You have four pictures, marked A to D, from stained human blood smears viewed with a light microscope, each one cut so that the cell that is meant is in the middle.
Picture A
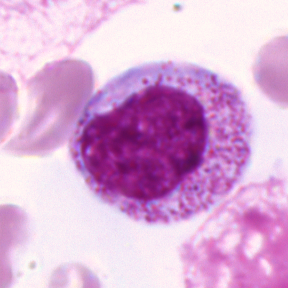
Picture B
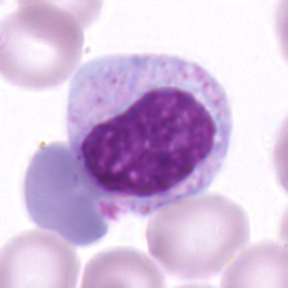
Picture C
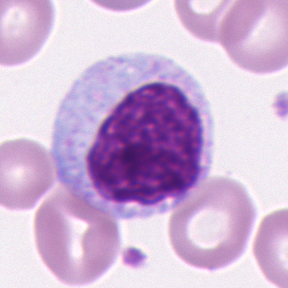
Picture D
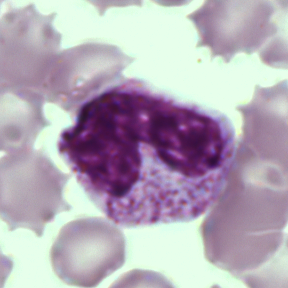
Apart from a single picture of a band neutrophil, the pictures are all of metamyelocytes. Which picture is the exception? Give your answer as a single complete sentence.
Picture D shows the band neutrophil.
